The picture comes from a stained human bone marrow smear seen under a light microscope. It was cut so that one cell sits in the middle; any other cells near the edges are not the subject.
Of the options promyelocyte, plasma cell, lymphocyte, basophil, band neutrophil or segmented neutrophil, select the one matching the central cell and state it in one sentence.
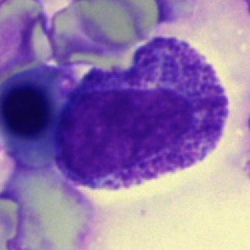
In the center of this field lies a promyelocyte.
